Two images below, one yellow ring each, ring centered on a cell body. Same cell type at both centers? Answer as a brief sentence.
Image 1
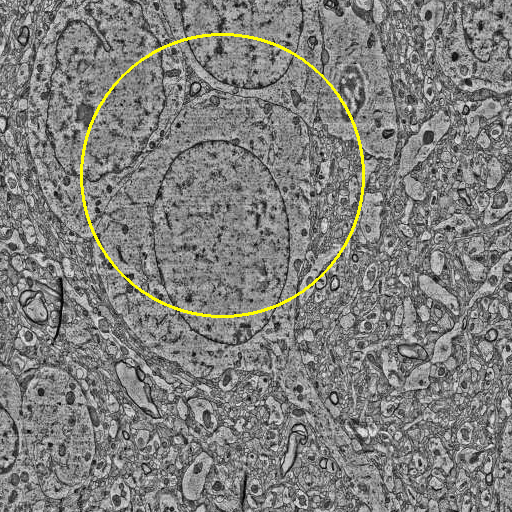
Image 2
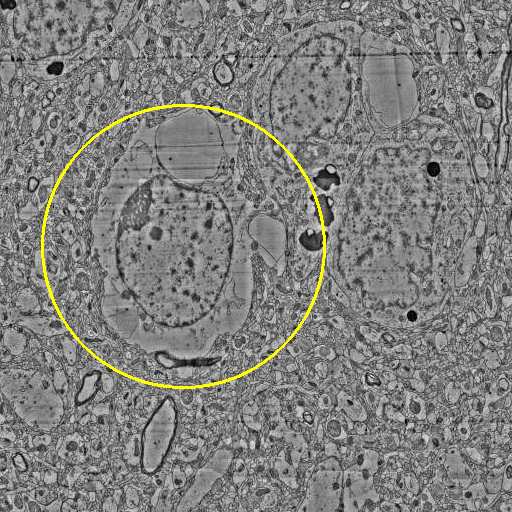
No, the cells are of two separate types.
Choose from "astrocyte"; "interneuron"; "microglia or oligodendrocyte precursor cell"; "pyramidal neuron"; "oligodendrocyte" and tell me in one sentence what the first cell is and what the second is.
What the first ring is centred on is a pyramidal neuron; what the second ring is centred on is an astrocyte.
